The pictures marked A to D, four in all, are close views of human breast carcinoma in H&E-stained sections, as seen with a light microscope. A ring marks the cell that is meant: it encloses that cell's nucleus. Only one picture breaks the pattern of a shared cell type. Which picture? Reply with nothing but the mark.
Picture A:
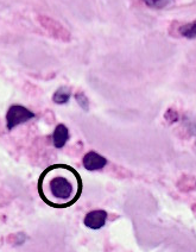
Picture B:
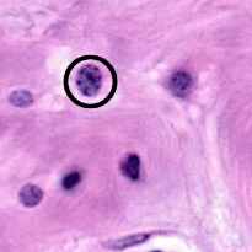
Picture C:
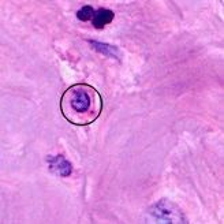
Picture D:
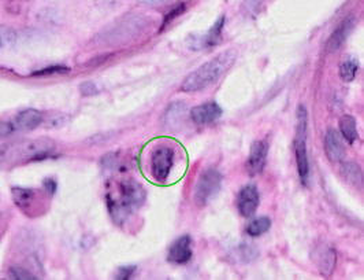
A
